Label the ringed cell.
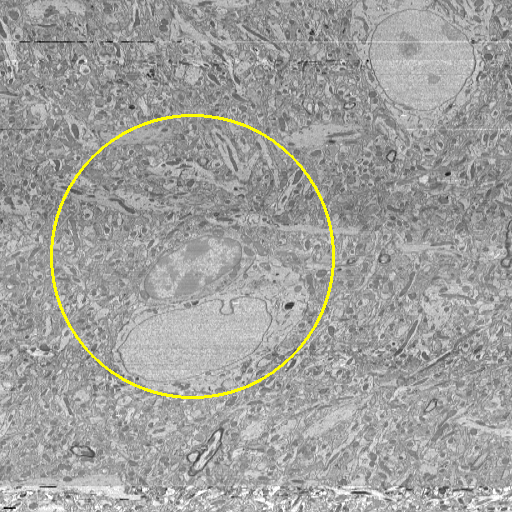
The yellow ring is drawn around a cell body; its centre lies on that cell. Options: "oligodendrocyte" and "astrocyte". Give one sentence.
The ringed cell is an oligodendrocyte.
